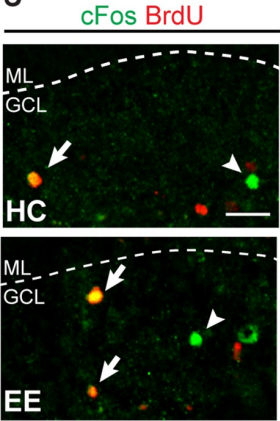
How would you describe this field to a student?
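Against a dark, finely speckled background lie a few small, round cell nuclei. Some are labelled green only, some red only, and some appear yellow-orange where green and red overlap. The labelled nuclei are scattered singly, mostly in the lower part of the layer, well away from the dashed boundary.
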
